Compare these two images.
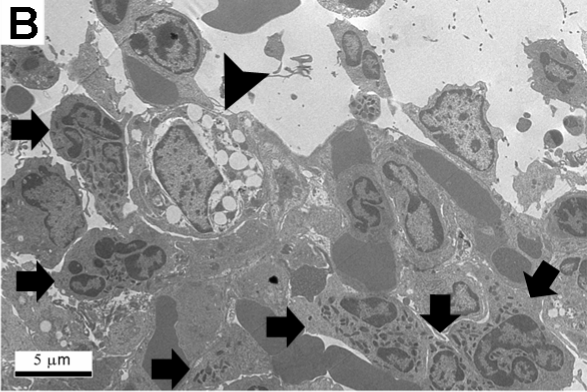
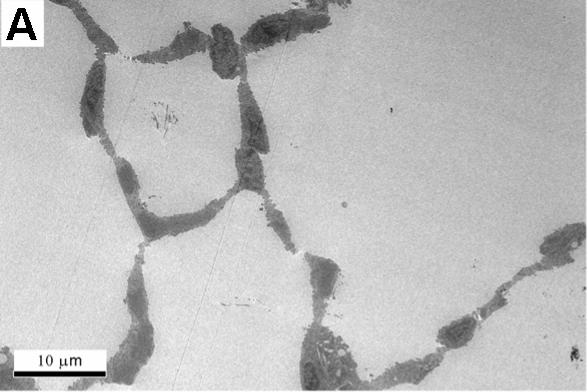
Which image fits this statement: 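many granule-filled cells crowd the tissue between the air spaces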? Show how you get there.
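The first image. First image: thickened walls between air spaces packed with cells having lobed nuclei and dense granules. Second image: thin walls between wide air spaces with few cells.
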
